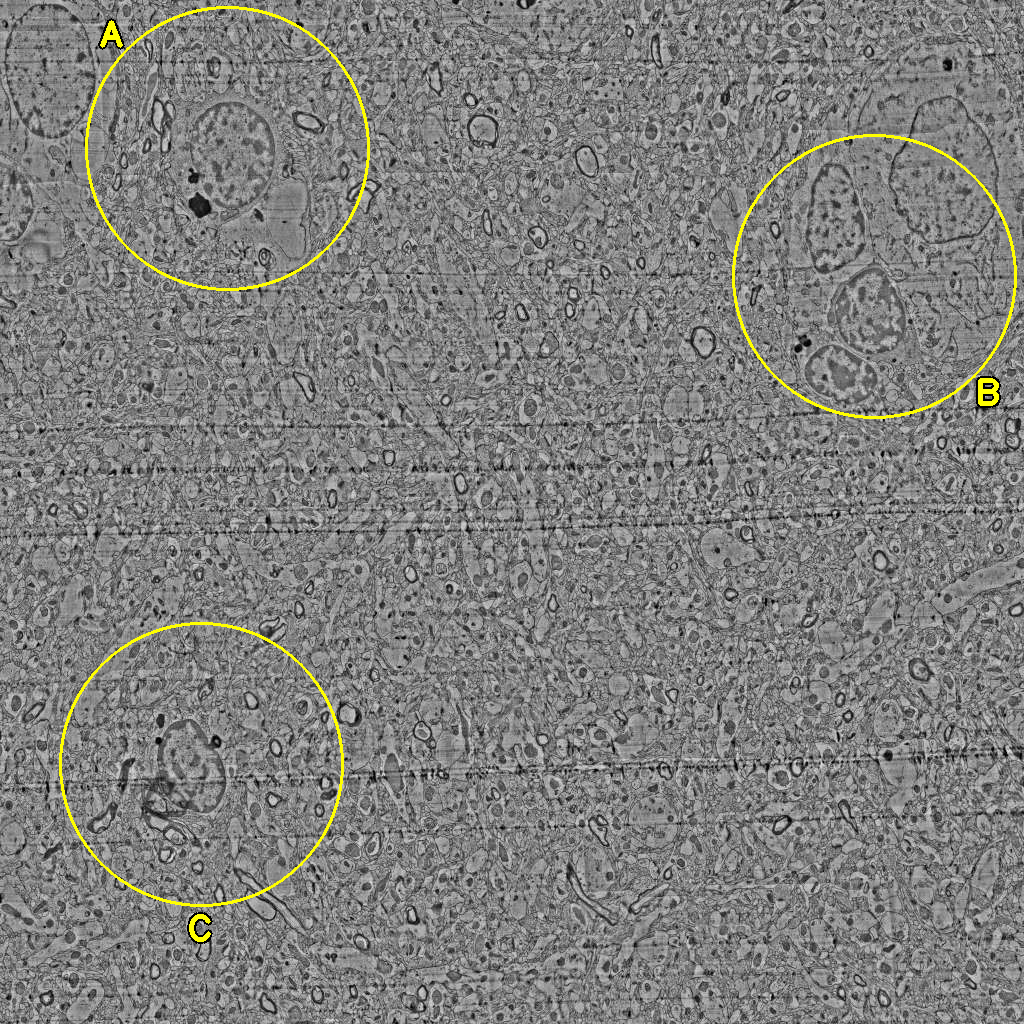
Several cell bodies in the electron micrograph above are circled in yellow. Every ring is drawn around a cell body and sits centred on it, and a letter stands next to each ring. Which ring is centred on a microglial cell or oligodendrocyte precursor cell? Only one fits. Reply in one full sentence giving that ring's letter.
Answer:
The ring centred on the cell asked for is Ring C.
